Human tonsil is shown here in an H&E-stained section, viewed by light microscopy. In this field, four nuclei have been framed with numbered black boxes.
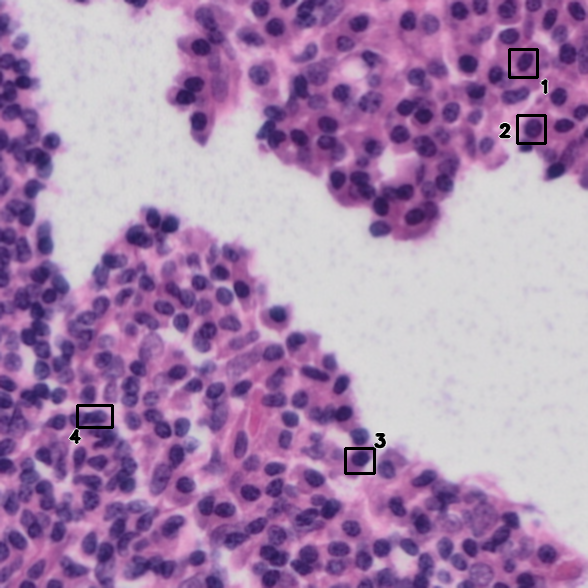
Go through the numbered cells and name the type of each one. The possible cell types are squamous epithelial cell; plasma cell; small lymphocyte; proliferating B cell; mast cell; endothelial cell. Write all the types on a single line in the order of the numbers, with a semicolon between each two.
plasma cell; plasma cell; plasma cell; small lymphocyte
